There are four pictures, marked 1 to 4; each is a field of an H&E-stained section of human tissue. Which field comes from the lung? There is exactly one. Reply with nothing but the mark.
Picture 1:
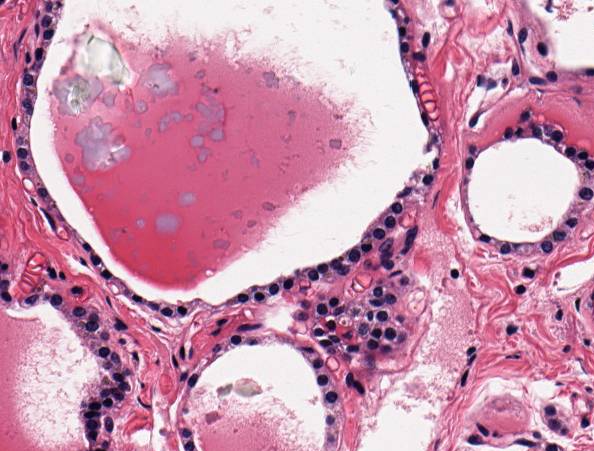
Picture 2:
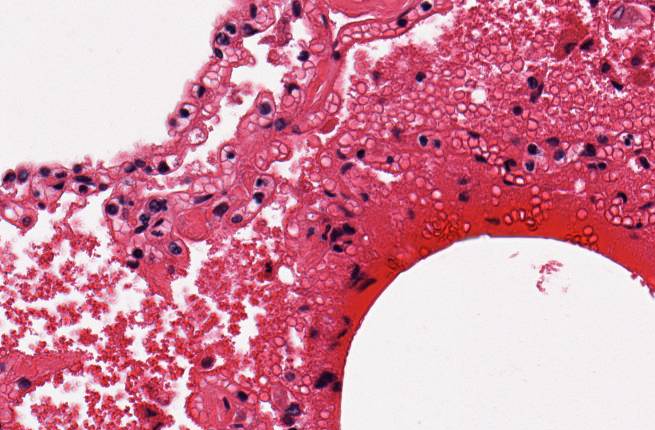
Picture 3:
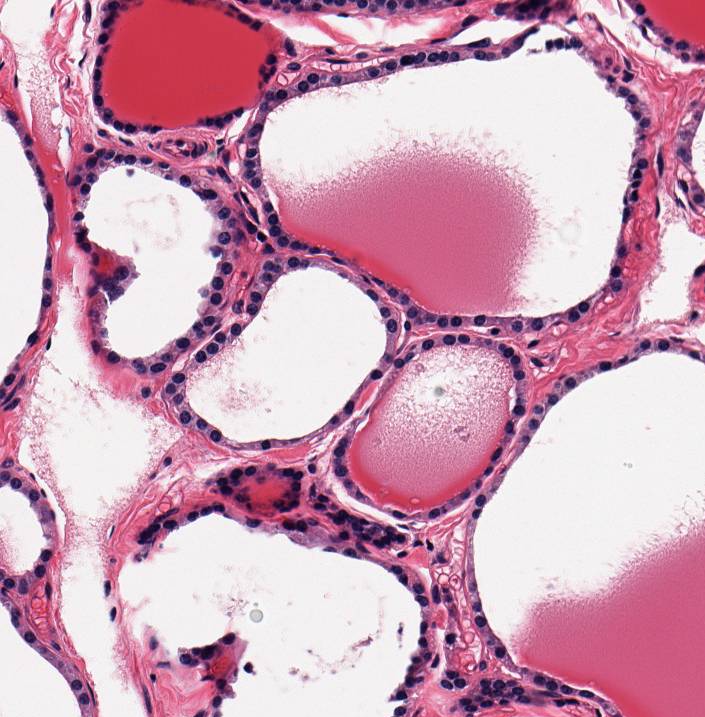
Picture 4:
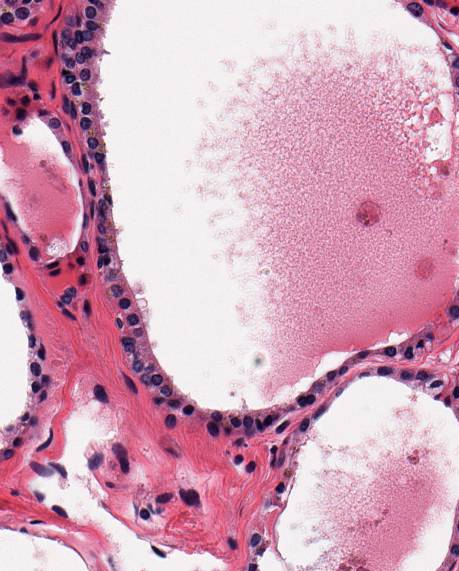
2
